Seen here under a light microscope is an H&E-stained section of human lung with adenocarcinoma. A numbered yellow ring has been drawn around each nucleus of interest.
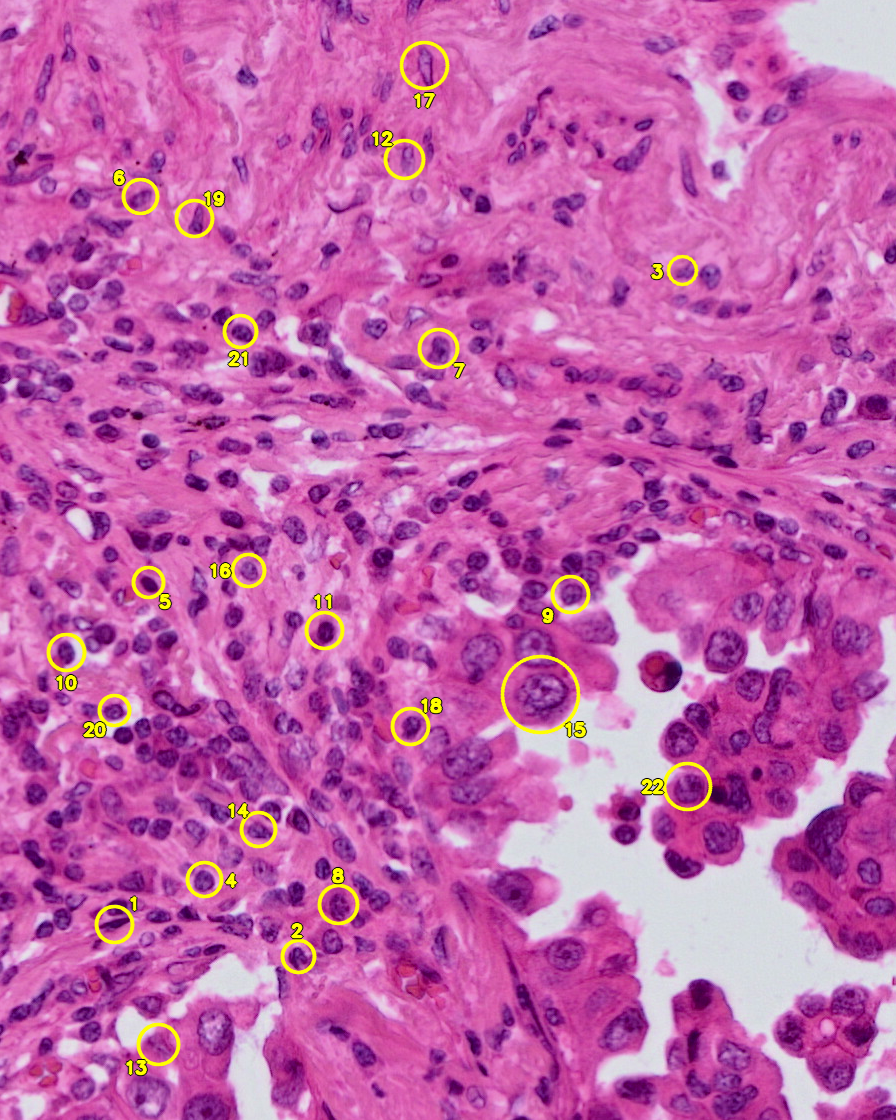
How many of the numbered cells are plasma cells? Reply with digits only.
4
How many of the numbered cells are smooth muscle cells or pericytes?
4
